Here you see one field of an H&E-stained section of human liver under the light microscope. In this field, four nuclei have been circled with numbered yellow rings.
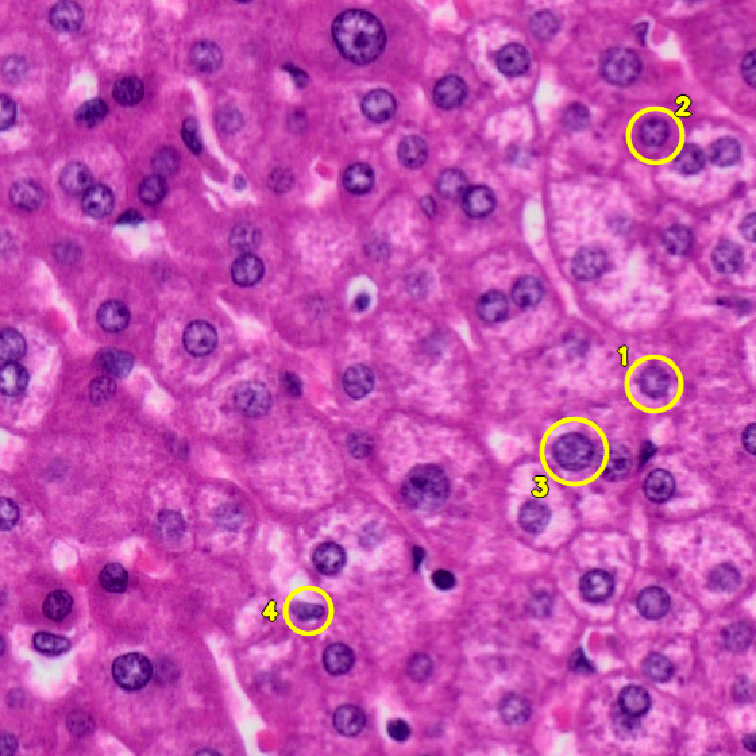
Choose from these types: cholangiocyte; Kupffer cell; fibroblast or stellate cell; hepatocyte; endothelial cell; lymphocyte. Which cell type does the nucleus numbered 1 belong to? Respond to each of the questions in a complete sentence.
Denoted by the label 1 in the section is a hepatocyte.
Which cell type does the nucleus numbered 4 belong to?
Identified as an endothelial cell is the cell bearing the number 4.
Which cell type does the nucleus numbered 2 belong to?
In this section, the cell numbered 2 is a hepatocyte.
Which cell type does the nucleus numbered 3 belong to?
The cell tagged with 3 in this tissue section is a hepatocyte.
